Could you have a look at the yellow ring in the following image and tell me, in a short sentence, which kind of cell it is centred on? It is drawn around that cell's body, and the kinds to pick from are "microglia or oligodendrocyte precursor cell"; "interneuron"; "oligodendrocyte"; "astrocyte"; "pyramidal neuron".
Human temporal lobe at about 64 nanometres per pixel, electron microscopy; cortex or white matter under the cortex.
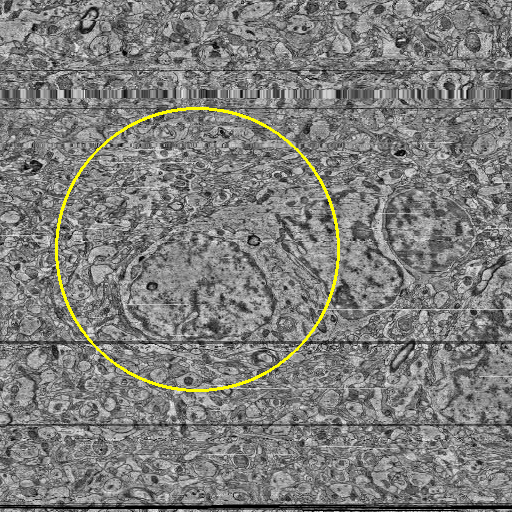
The ring is centred on the body of an interneuron.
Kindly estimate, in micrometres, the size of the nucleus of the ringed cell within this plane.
The nucleus has a long axis of about 9 micrometres and a short axis of about 7 micrometres in this plane.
